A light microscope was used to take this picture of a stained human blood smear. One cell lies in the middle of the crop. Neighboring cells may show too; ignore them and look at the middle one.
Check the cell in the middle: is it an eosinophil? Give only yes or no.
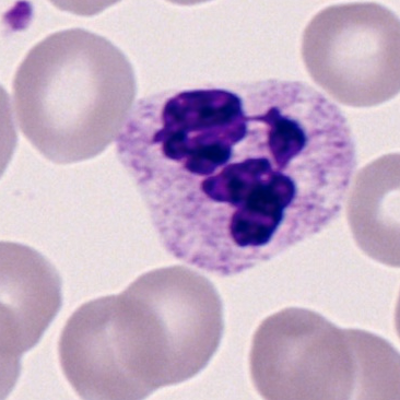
no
